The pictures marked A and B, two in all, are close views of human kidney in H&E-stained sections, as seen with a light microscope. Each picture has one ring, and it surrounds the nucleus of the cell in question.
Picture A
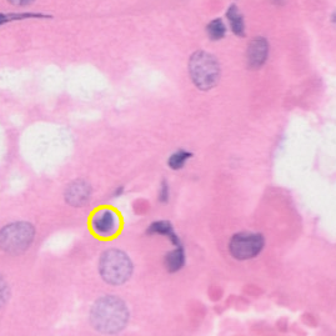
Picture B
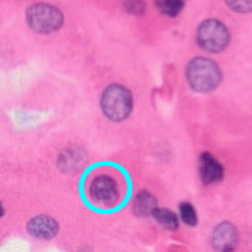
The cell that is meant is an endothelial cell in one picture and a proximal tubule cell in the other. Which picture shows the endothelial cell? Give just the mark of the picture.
A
